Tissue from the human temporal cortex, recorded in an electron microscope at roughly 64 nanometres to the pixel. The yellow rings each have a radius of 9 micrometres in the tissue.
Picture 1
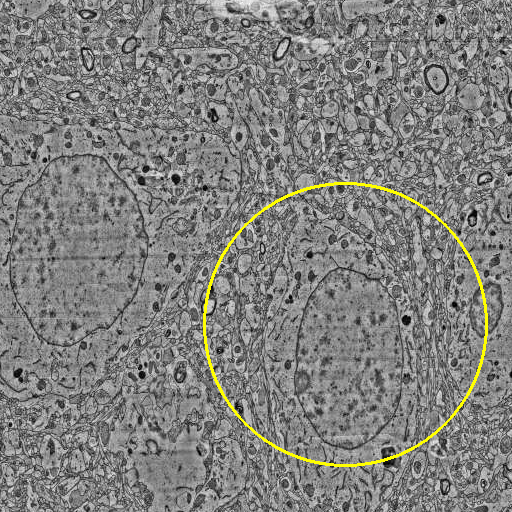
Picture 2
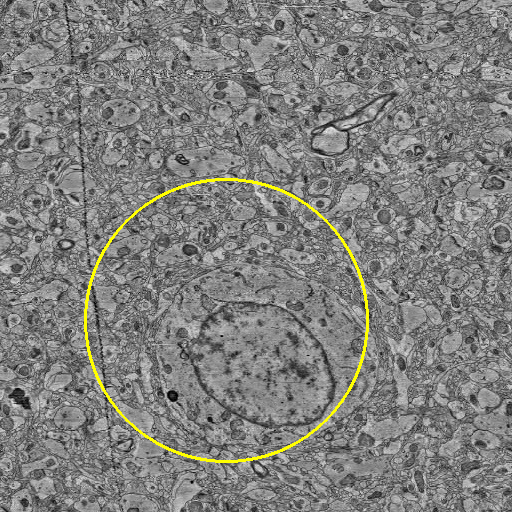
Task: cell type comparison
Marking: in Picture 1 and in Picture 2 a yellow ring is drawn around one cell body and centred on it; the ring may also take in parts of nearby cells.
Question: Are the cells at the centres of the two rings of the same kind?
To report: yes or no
yes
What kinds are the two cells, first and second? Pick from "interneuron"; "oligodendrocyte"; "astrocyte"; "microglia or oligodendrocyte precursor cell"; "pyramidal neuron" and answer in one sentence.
The cell at the ring centre is a pyramidal neuron in both pictures.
